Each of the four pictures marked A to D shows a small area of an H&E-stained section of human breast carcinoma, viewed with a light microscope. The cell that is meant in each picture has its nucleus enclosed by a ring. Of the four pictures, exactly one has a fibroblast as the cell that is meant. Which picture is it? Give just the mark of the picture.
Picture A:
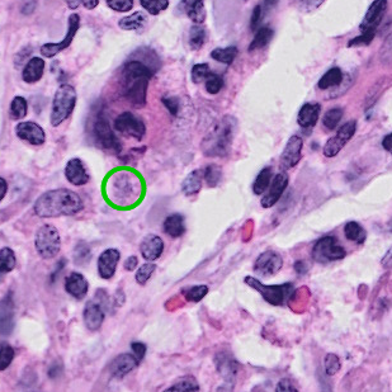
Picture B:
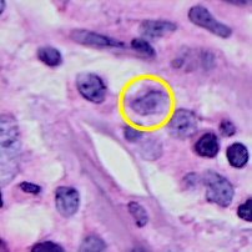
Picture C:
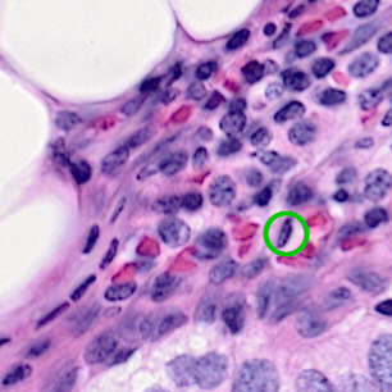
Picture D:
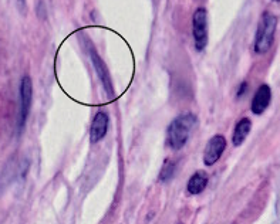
D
